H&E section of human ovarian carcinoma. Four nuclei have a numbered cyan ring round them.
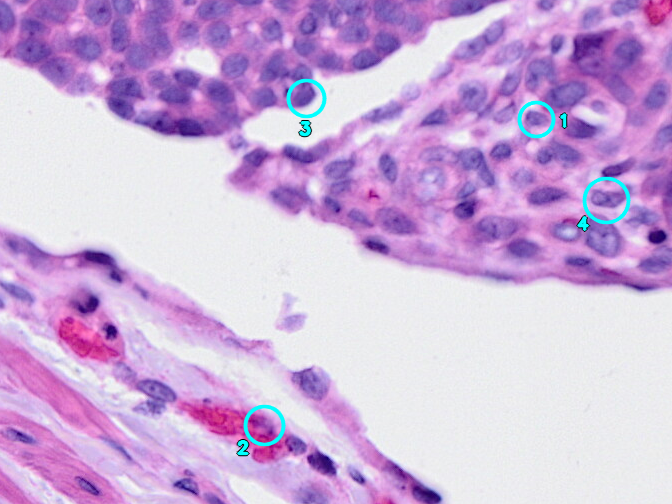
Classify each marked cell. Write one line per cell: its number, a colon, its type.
1: macrophage or monocyte
2: endothelial cell
3: carcinoma cell
4: macrophage or monocyte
